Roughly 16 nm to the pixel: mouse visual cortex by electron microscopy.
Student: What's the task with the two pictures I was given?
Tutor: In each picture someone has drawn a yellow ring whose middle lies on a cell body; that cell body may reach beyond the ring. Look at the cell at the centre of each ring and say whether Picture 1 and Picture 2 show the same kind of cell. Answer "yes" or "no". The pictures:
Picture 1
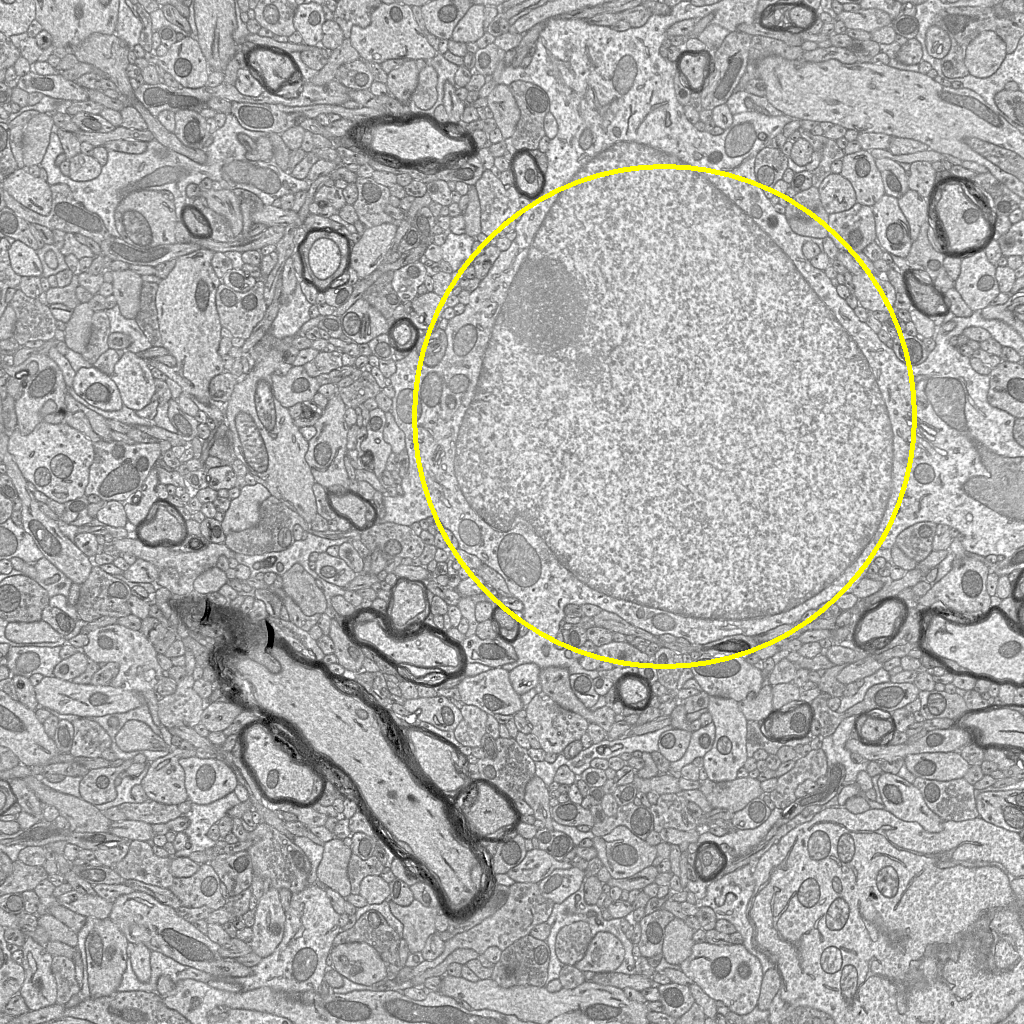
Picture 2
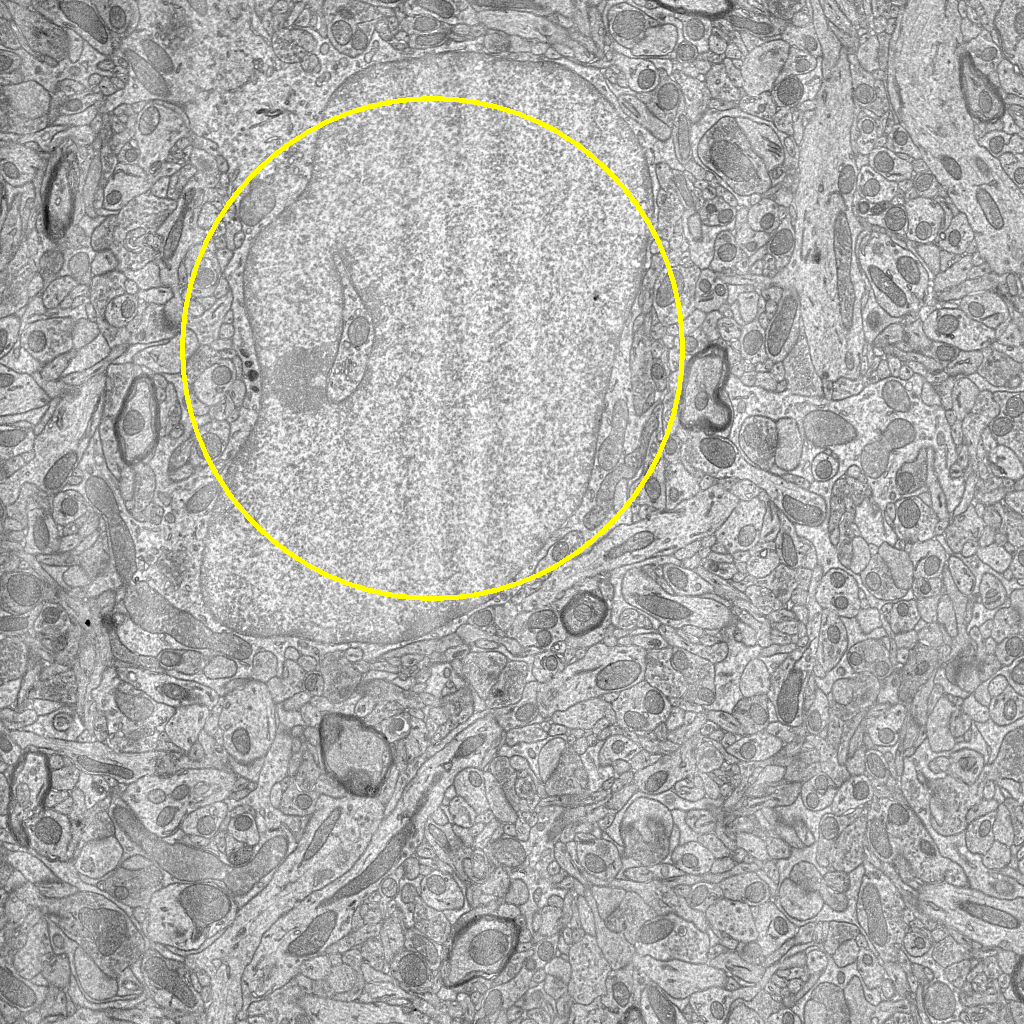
yes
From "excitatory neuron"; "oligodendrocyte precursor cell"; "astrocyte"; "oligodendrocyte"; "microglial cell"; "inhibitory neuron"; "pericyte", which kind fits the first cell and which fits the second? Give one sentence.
Both pictures show an astrocyte at the centre of the ring.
